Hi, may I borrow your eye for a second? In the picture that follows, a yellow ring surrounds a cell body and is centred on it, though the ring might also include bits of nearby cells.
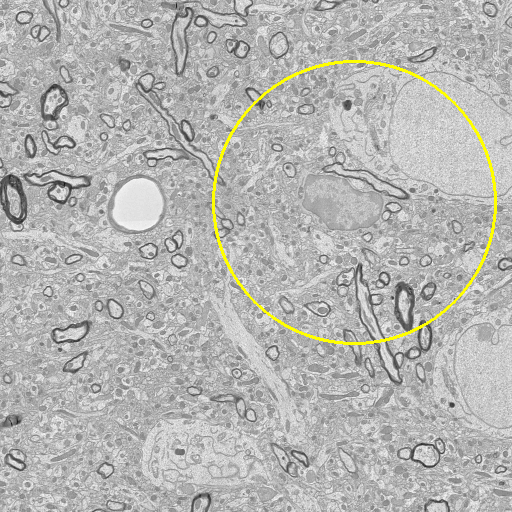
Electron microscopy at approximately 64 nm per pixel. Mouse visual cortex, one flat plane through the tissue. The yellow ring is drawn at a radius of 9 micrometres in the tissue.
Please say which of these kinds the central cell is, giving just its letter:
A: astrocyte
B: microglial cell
B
